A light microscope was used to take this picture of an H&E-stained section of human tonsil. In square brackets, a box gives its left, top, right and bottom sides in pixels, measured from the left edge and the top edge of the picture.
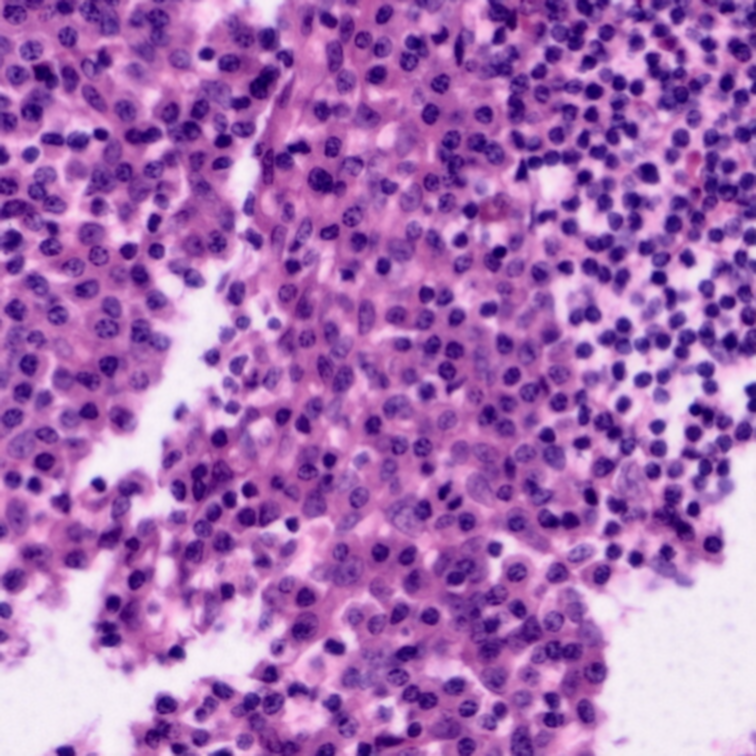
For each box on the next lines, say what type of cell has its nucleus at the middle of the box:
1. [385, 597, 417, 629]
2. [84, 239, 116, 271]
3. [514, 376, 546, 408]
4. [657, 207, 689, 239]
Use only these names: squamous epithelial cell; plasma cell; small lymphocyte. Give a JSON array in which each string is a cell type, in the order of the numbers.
["plasma cell", "plasma cell", "plasma cell", "small lymphocyte"]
